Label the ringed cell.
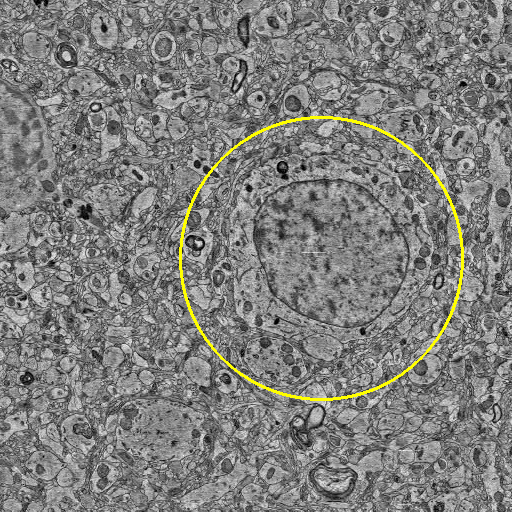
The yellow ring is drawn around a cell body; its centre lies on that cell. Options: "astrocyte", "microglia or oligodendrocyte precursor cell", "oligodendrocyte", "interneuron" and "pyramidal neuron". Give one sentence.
The ringed cell is a pyramidal neuron.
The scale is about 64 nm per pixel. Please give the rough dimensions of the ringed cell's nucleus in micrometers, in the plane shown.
In this plane, approximately 11 by 9 micrometers.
